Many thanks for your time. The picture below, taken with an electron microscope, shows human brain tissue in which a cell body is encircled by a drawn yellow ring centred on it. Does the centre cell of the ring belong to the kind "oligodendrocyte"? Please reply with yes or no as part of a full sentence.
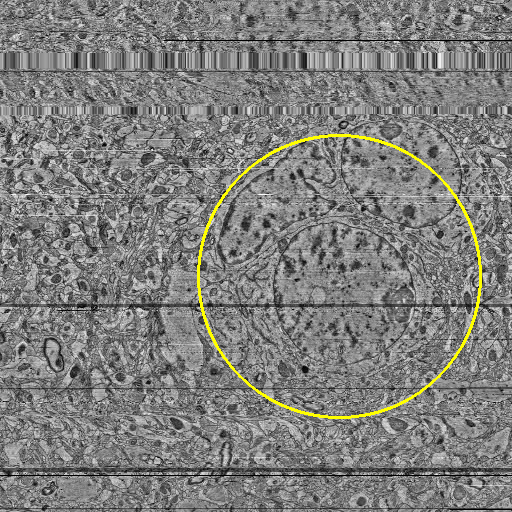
No, in the picture the cell at the ring's centre is of some different kind.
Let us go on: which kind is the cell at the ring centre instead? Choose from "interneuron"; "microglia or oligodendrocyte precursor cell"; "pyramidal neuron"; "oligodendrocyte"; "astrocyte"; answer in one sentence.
In this picture, the ring is centred on a pyramidal neuron.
